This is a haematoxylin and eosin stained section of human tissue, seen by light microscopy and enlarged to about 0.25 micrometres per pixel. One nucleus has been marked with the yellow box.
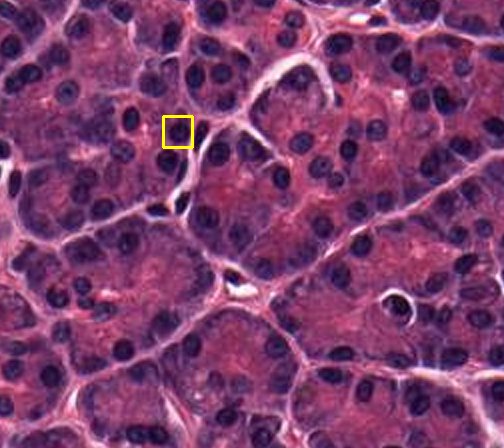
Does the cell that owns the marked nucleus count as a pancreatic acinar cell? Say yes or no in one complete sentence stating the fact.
Yes, a pancreatic acinar cell holds the marked nucleus.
